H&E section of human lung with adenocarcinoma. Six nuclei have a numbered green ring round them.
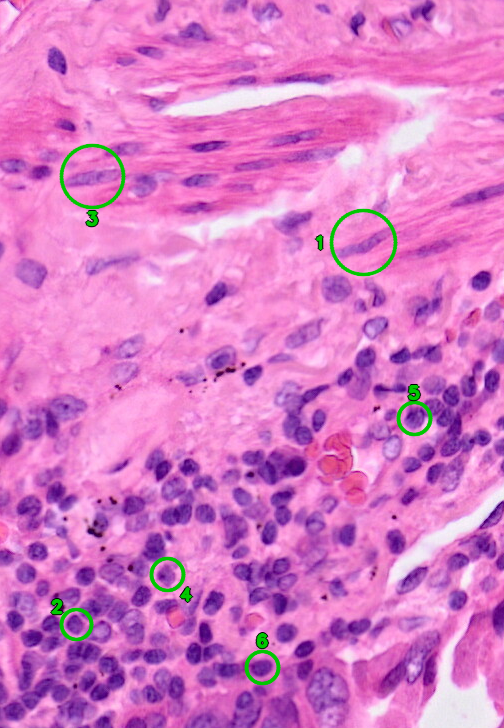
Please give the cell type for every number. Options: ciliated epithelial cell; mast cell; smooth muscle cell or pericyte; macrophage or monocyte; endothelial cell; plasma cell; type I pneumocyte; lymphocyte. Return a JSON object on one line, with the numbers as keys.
{"1": "smooth muscle cell or pericyte", "2": "lymphocyte", "3": "smooth muscle cell or pericyte", "4": "lymphocyte", "5": "lymphocyte", "6": "lymphocyte"}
